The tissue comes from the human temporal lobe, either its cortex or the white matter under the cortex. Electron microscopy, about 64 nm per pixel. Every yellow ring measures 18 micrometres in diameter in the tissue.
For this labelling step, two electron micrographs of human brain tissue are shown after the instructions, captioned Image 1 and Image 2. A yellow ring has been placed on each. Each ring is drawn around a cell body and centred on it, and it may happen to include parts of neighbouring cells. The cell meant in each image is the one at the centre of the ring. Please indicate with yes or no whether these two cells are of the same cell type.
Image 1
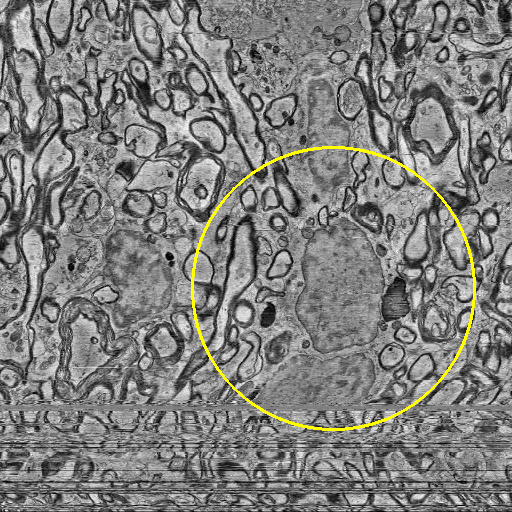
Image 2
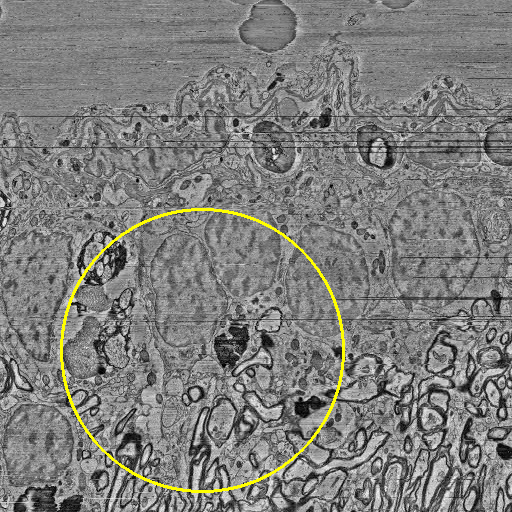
yes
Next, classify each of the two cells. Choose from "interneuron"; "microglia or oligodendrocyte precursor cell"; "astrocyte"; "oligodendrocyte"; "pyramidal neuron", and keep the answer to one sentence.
Each of the two rings is centred on an oligodendrocyte.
